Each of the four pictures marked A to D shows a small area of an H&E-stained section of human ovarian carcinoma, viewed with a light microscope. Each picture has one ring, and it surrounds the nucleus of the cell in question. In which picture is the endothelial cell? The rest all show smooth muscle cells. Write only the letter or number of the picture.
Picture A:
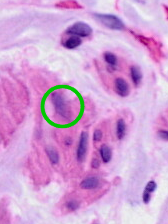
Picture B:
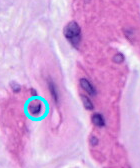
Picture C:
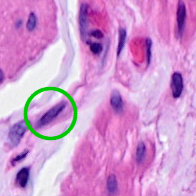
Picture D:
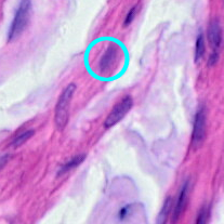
C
